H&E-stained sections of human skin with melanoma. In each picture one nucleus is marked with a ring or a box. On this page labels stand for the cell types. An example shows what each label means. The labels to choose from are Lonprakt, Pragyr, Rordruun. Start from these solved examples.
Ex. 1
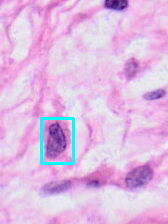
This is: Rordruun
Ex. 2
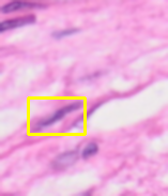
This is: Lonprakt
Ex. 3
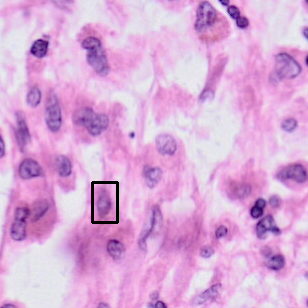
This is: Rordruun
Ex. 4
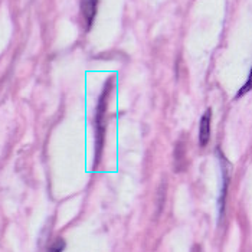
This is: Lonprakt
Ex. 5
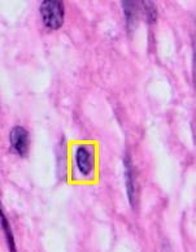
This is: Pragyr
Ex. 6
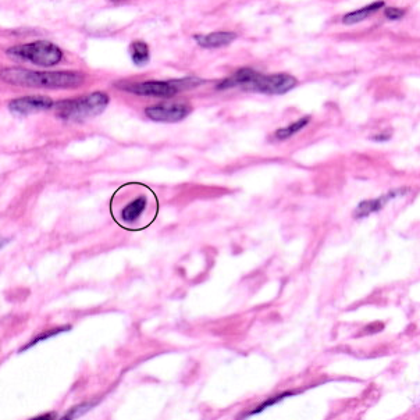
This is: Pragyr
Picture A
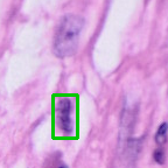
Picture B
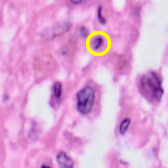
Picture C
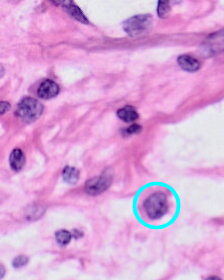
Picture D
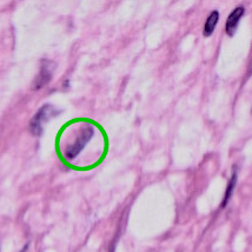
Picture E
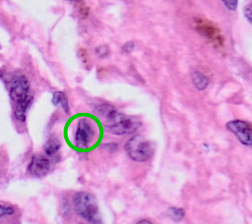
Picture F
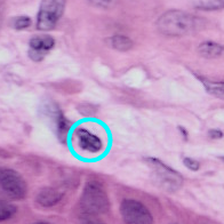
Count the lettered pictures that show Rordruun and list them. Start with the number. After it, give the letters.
Count: 4 (A, B, C, E)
